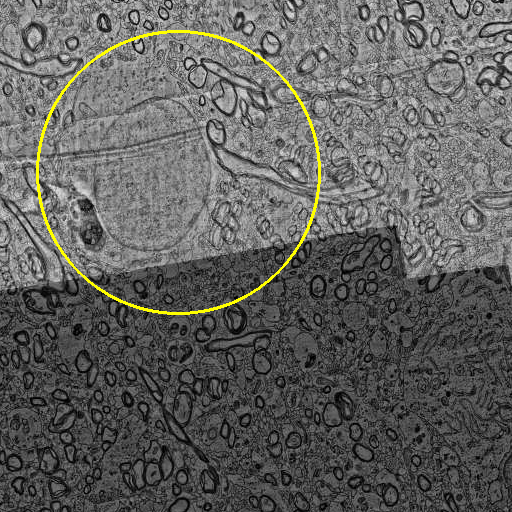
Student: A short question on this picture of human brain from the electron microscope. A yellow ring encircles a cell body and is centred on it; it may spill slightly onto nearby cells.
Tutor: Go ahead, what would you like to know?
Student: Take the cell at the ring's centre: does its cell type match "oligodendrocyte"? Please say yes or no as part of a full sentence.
No, the cell found at the ring's centre in the picture has another cell type.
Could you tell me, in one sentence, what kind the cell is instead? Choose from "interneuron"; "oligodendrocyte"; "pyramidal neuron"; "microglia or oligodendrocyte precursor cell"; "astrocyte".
The cell at the ring centre is an astrocyte.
